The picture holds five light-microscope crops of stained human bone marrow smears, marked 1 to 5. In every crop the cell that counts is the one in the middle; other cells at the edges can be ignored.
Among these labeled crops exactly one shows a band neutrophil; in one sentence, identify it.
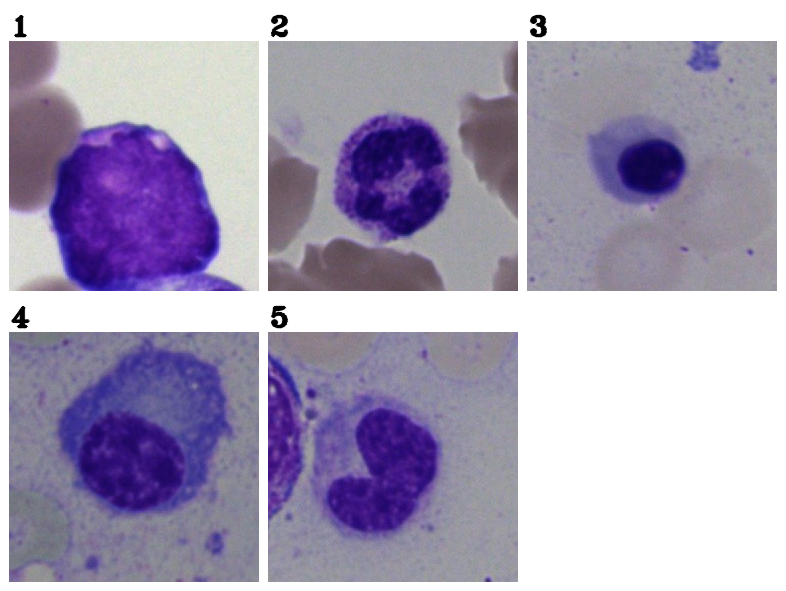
Crop 5 is where a band neutrophil is to be found.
